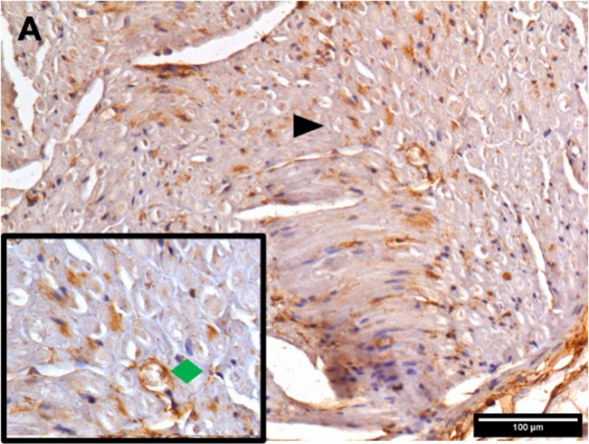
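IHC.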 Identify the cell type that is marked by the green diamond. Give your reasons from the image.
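Schwann cells. The diamond sits among many small round ring-shaped profiles in cross-section. Elongated blue nuclei lie between the rings.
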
